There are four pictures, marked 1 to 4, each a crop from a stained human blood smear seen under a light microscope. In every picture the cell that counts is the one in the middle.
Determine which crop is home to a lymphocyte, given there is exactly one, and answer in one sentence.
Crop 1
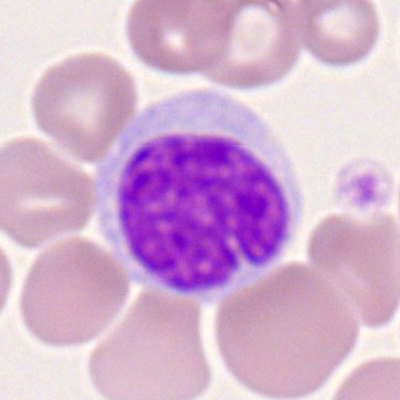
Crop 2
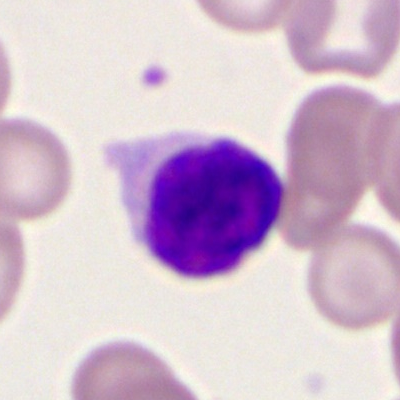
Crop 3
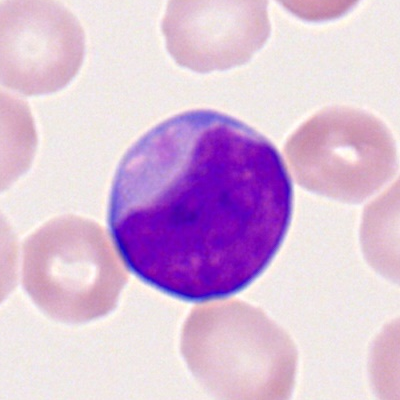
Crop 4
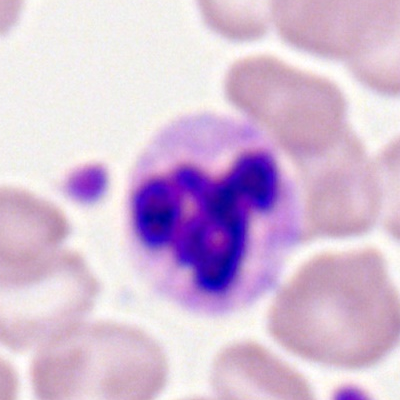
That would be crop 2; it shows a lymphocyte.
